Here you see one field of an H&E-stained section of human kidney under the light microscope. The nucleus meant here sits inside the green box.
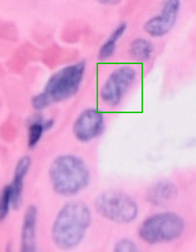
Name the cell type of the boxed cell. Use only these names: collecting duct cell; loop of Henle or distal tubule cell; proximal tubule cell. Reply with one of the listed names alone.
collecting duct cell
